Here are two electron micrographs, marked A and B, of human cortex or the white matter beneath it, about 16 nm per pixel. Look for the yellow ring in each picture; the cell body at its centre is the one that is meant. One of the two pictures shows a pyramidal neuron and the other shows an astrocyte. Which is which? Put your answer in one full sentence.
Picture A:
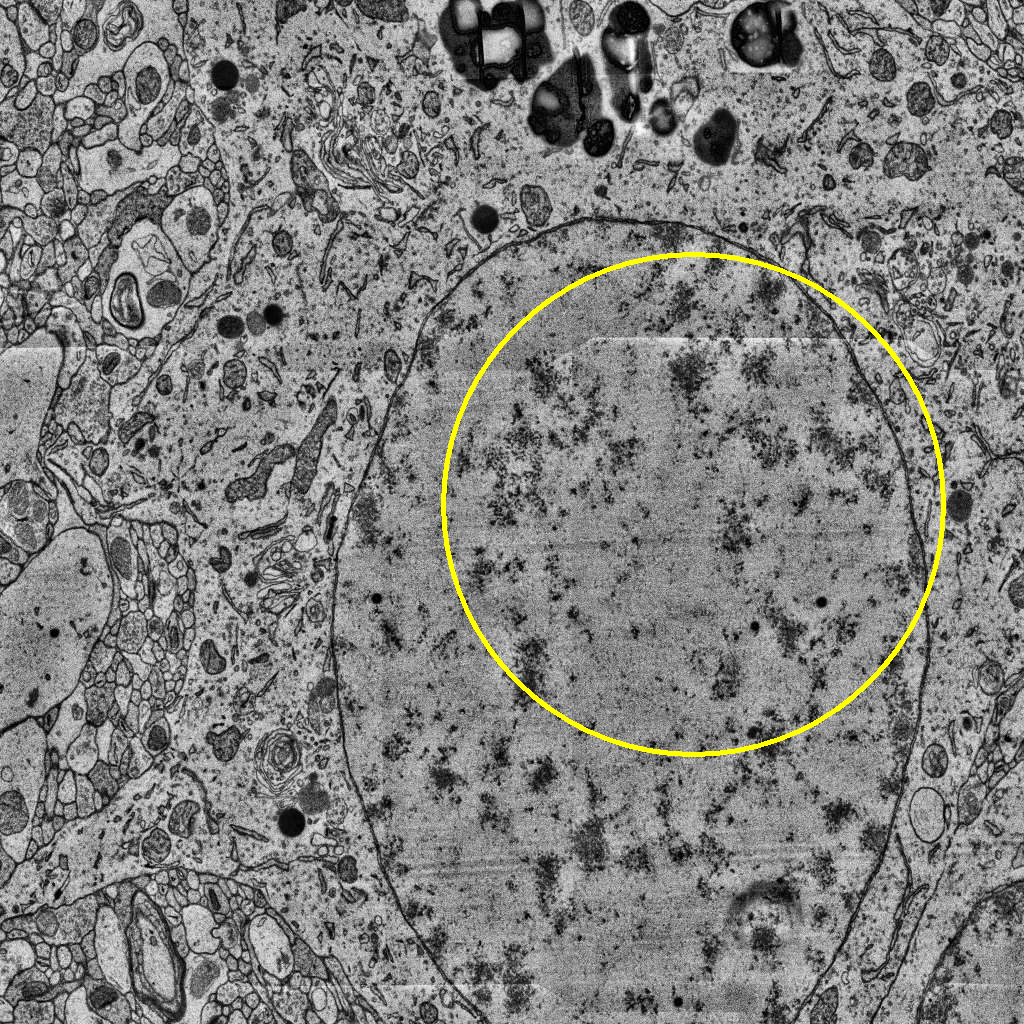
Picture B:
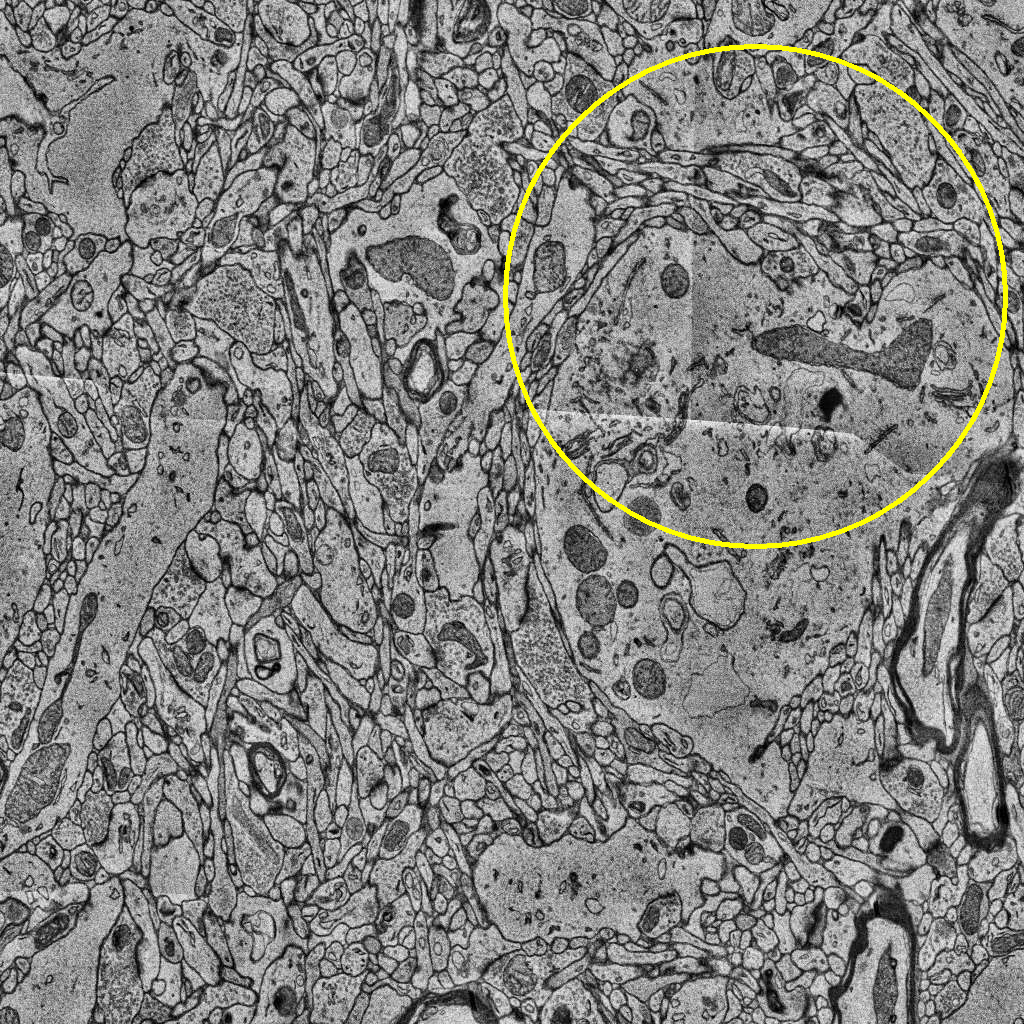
Picture A is of a pyramidal neuron, and picture B is of an astrocyte.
